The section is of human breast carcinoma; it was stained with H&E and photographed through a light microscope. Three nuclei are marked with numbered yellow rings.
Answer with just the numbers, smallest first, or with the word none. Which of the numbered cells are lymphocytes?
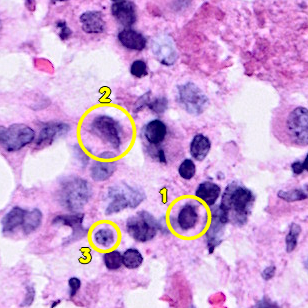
3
